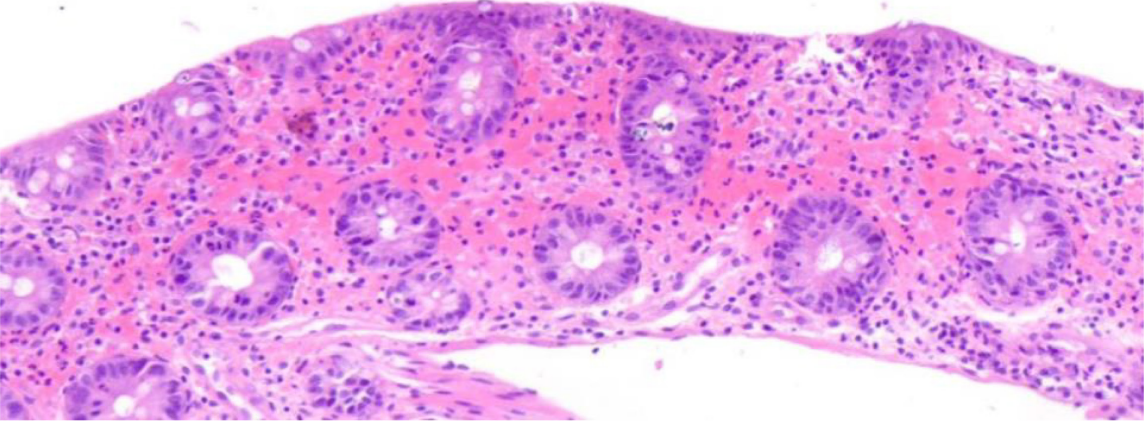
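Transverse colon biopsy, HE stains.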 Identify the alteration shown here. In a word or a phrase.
lamina propria hemorrhage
